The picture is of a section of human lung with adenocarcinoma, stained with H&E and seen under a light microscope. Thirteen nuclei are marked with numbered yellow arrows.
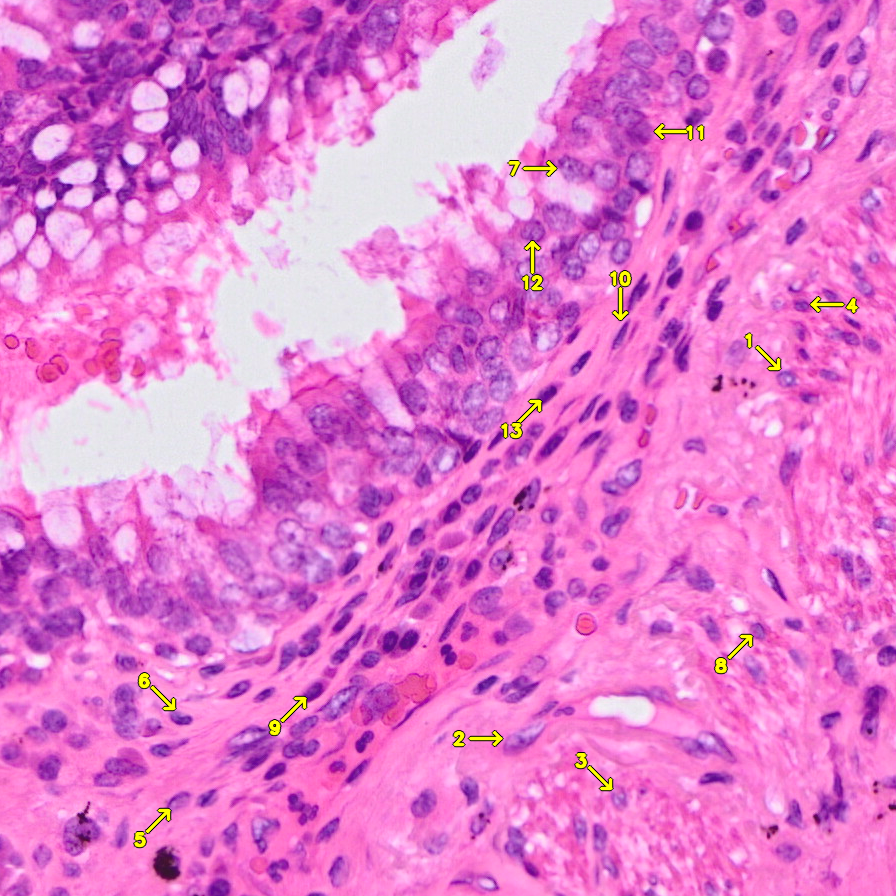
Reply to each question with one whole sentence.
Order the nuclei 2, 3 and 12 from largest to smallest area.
From largest to smallest, the order is 2, 12, 3.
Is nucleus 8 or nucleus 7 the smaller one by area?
With nucleus 7 about 3 times its size, nucleus 8 is the smaller of the two.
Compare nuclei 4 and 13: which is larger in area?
Number 13 is larger; its area is about 1.5 times that of number 4.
